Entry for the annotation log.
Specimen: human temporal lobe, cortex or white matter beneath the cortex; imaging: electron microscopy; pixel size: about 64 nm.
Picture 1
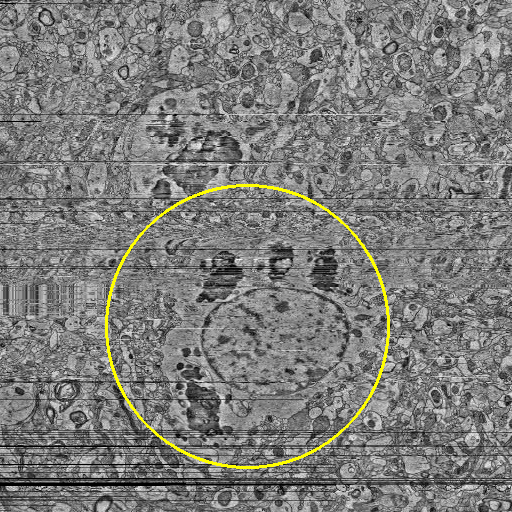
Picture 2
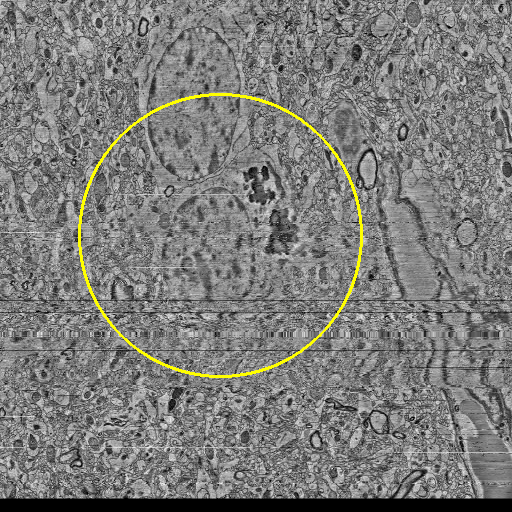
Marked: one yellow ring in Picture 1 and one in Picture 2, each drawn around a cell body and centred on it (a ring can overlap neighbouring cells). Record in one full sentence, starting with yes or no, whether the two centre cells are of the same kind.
Yes, both cells are of the same kind.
